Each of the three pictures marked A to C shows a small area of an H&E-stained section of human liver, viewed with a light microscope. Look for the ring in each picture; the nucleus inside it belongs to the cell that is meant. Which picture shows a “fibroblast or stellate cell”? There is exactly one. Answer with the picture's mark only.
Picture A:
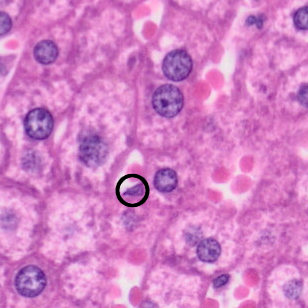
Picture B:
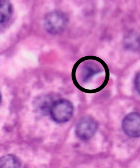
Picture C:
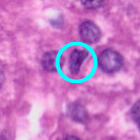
C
